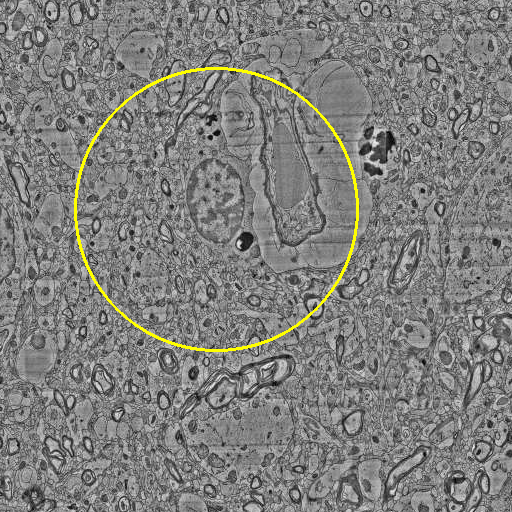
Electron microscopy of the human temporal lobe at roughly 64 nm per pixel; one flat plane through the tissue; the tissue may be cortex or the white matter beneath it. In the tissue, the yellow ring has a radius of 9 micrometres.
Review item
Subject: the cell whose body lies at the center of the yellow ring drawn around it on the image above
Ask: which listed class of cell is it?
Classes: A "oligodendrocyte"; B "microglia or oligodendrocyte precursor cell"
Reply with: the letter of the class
A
